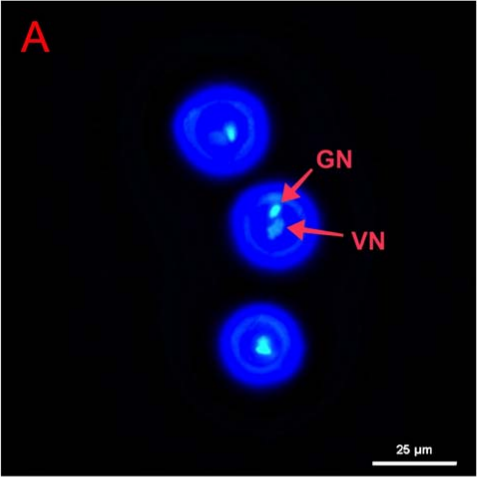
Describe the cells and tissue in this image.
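Round pollen grains seen by blue fluorescence, each bounded by a bright wall. The grains are of similar size and lie separate from one another.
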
